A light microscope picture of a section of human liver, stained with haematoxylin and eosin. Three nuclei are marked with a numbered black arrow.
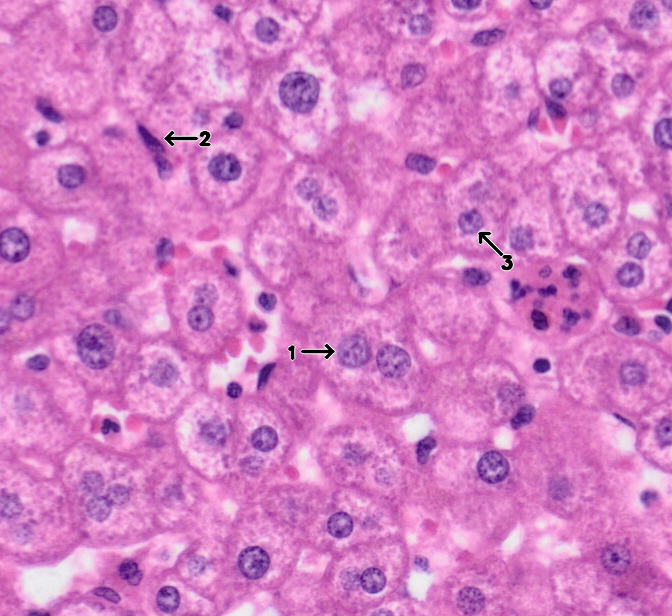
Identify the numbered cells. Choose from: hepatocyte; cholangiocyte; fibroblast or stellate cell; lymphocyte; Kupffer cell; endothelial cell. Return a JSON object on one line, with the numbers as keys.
{"1": "hepatocyte", "2": "fibroblast or stellate cell", "3": "hepatocyte"}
